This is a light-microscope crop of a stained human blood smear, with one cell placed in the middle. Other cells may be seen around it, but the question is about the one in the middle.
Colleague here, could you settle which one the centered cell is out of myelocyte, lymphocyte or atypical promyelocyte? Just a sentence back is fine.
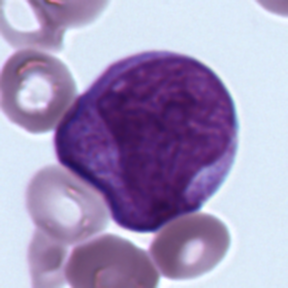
The cell at the central position in this crop is an atypical promyelocyte.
